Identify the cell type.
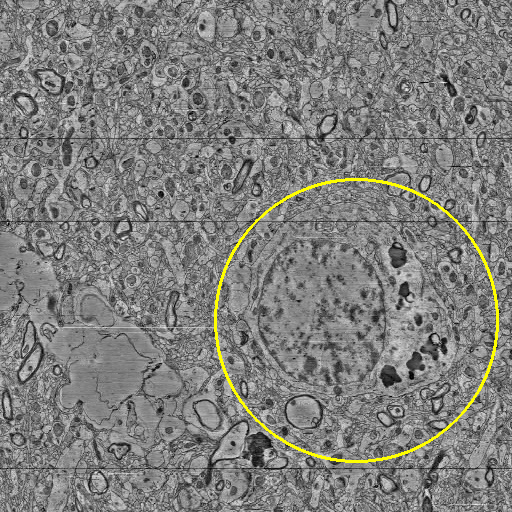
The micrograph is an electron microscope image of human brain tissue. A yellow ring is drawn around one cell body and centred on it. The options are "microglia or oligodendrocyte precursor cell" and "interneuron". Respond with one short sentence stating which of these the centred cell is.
The cell body in the ring belongs to an interneuron.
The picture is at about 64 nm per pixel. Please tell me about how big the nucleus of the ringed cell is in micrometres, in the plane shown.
About 10 by 8 micrometres in this plane.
